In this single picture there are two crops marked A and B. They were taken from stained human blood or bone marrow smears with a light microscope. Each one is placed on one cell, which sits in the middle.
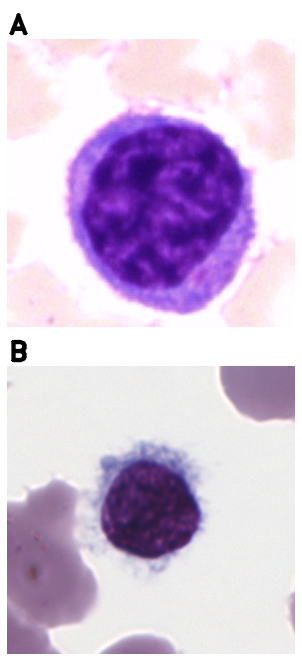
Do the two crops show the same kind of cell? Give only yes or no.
no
